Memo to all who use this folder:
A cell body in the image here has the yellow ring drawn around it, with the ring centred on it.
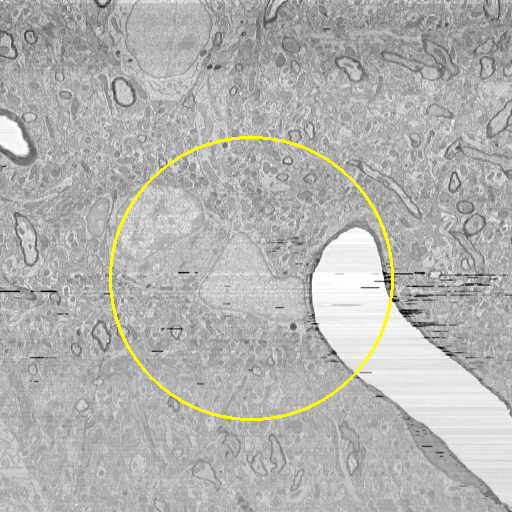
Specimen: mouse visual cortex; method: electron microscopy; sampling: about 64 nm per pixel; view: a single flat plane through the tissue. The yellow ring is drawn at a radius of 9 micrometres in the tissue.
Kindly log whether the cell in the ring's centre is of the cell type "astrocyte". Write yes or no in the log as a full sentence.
Yes, logged: the ring in this image is centred on a cell of that type.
